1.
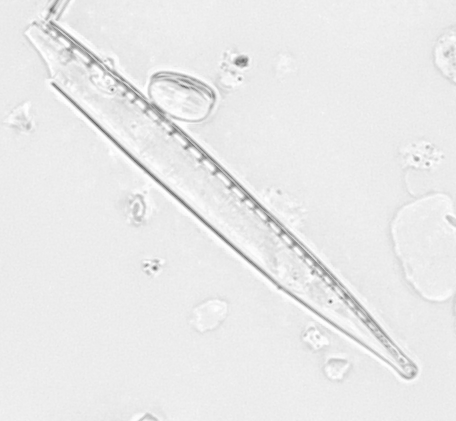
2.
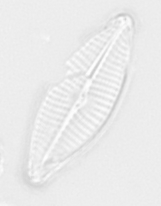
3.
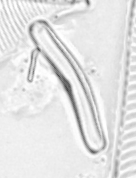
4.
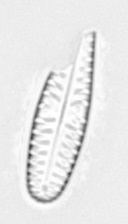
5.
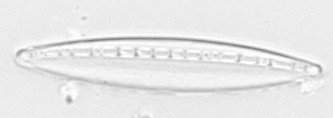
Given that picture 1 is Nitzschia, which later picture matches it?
5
